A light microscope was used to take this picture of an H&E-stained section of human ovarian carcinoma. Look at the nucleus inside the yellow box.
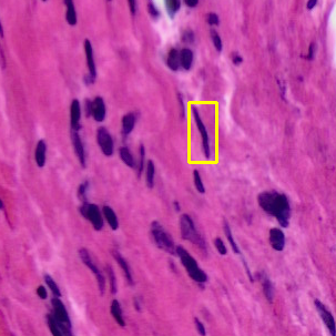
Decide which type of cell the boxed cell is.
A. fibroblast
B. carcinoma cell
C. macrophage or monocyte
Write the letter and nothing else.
A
